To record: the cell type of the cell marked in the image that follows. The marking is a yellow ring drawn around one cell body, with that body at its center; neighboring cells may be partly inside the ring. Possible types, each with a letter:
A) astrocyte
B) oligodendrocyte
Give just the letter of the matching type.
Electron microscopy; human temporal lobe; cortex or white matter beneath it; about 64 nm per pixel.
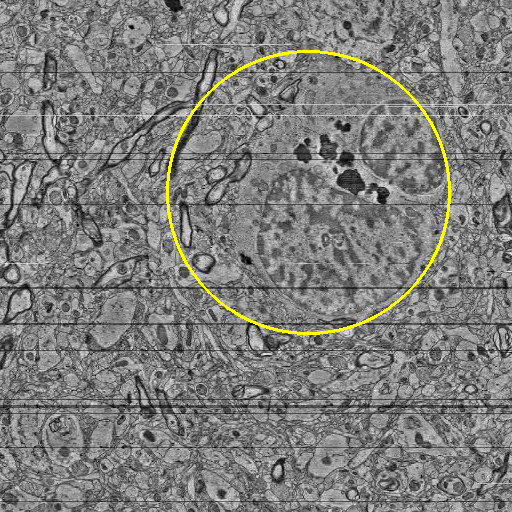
B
